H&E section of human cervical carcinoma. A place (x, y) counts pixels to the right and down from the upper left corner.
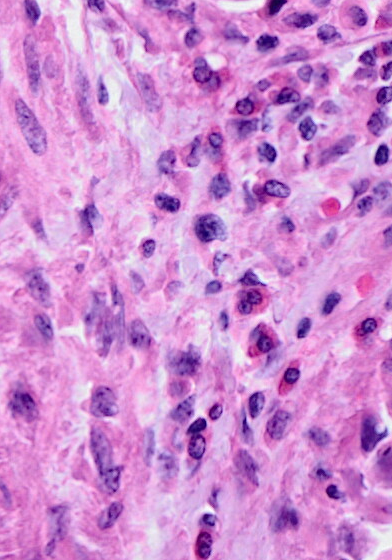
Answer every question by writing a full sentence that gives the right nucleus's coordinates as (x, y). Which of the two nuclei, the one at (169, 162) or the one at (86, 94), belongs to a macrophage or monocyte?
Of the two, the nucleus lying at (169, 162) is the one belonging to a macrophage or monocyte.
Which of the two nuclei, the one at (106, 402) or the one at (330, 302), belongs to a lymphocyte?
The nucleus that belongs to a lymphocyte is located at (330, 302).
